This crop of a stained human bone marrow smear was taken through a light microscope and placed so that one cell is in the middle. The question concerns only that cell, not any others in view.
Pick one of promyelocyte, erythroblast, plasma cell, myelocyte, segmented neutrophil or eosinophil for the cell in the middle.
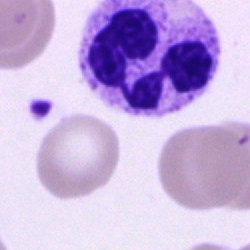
segmented neutrophil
